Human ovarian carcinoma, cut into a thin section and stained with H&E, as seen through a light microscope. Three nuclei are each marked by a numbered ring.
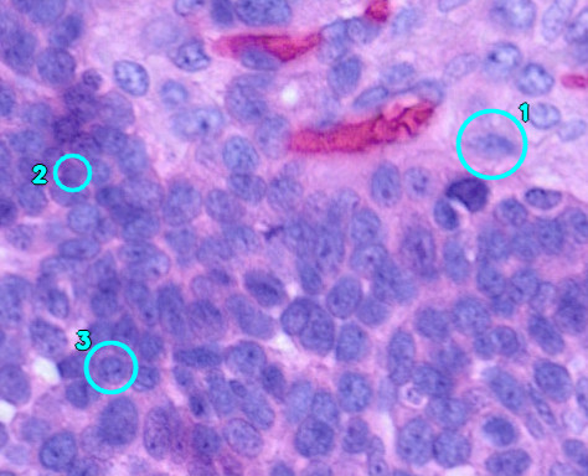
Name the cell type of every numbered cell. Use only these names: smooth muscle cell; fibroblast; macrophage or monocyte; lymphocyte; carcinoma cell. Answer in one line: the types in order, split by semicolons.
fibroblast; carcinoma cell; carcinoma cell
